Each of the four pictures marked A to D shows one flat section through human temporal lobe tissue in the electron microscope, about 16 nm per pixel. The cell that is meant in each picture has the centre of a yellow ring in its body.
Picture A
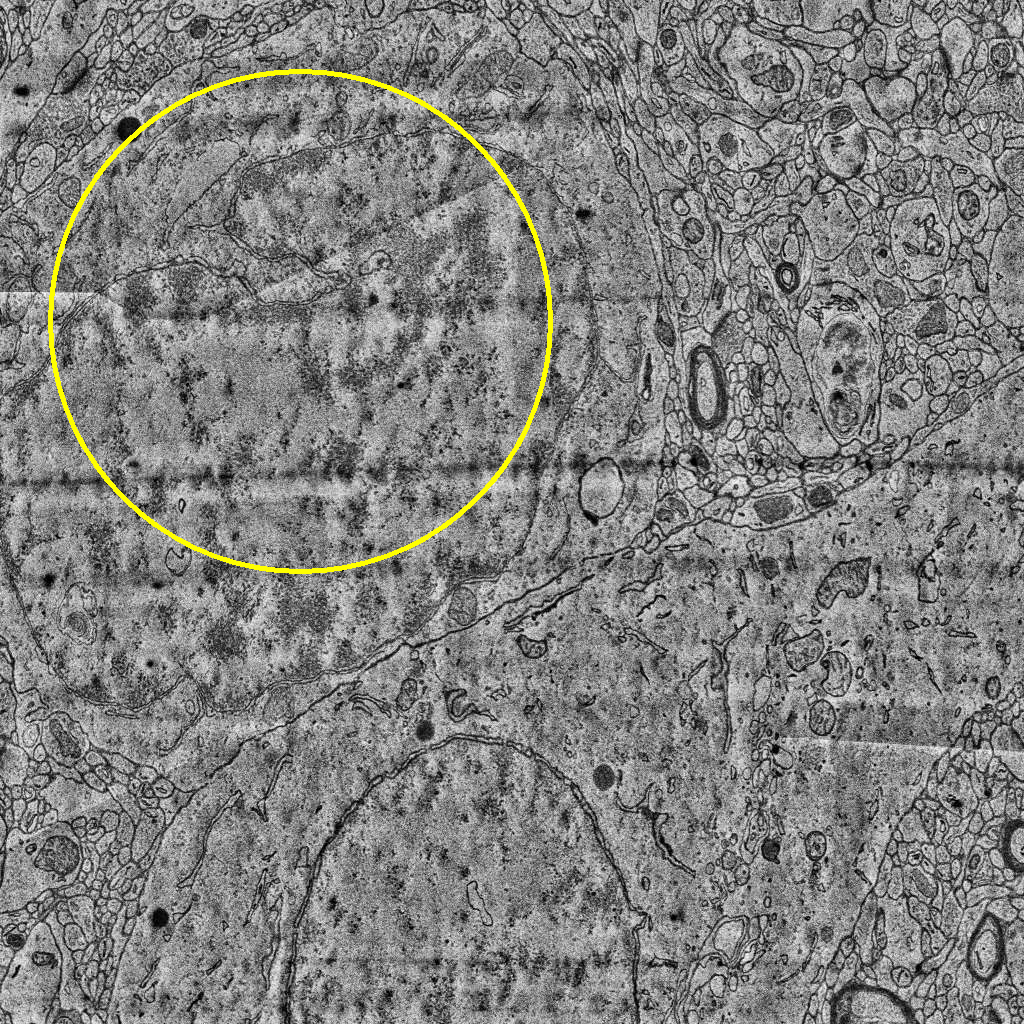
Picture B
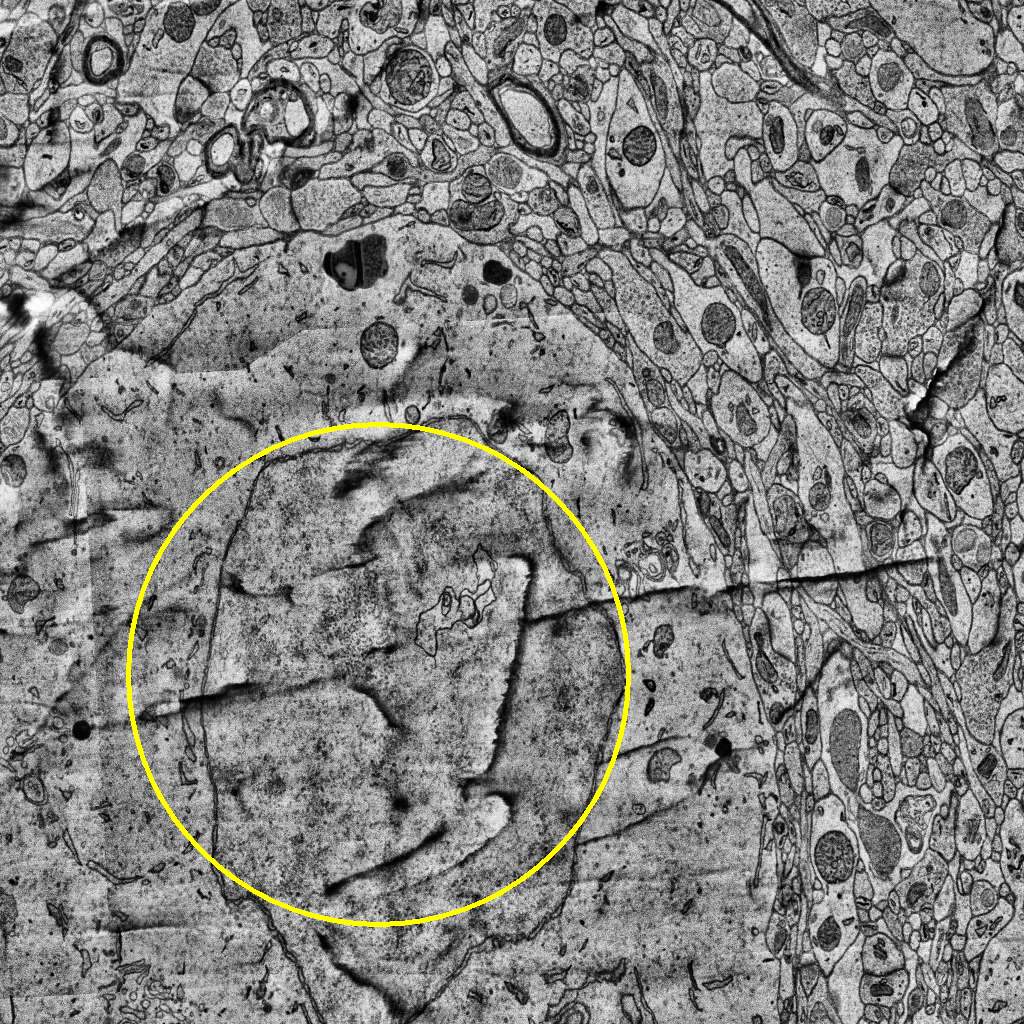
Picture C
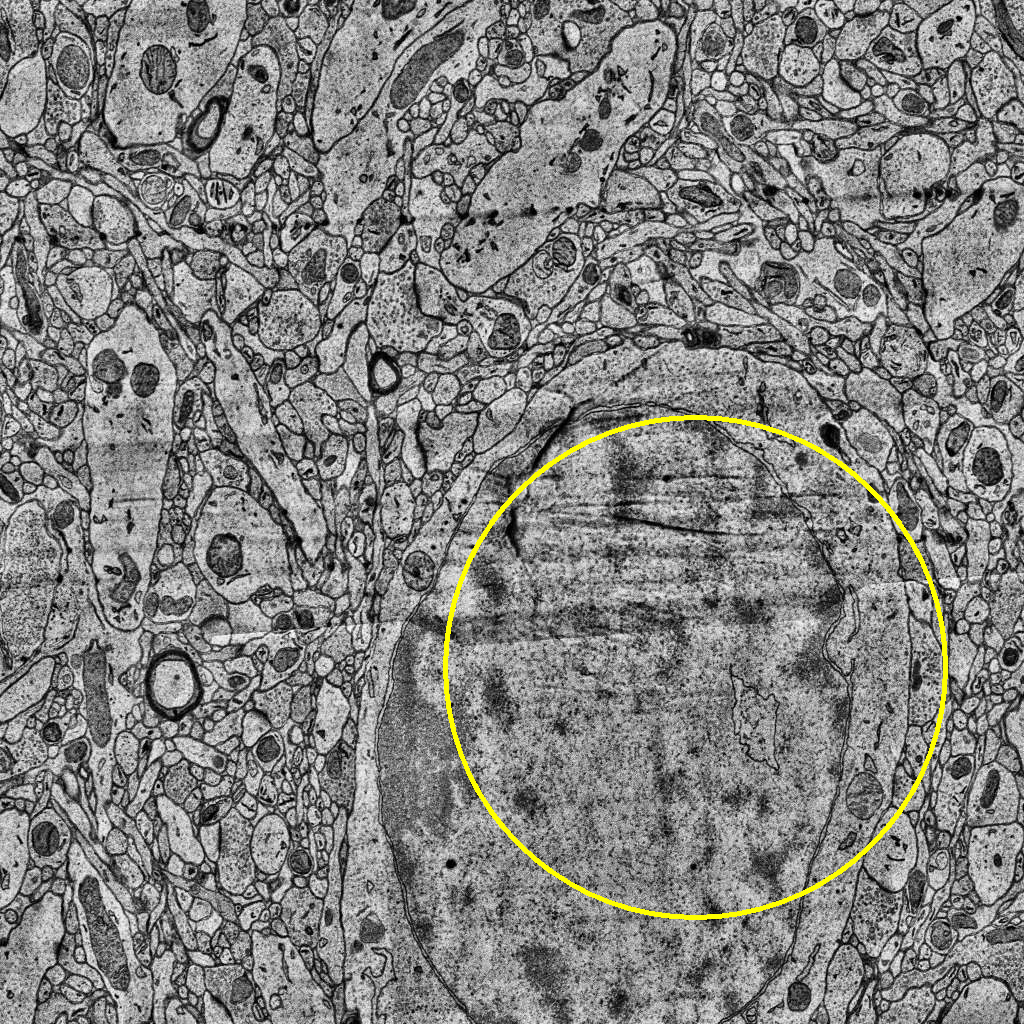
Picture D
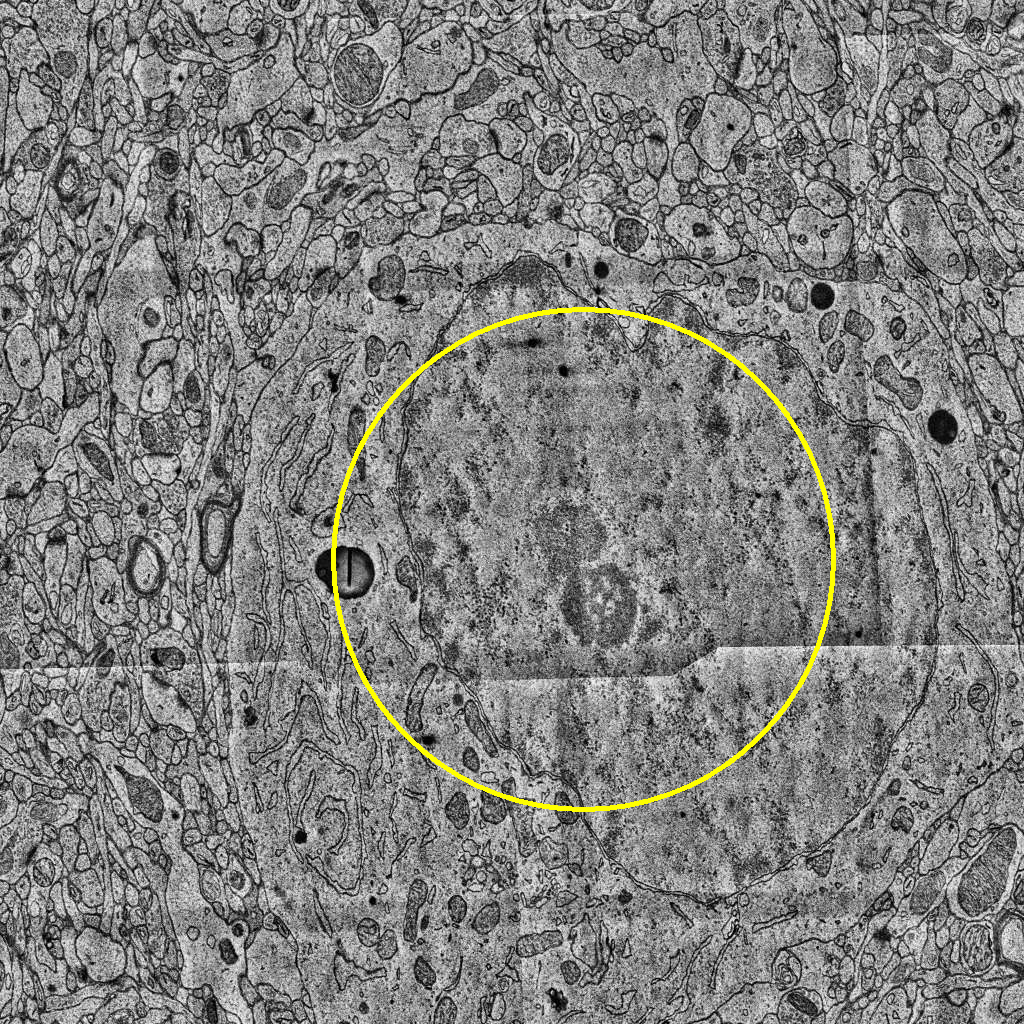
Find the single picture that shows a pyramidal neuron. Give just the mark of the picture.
B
